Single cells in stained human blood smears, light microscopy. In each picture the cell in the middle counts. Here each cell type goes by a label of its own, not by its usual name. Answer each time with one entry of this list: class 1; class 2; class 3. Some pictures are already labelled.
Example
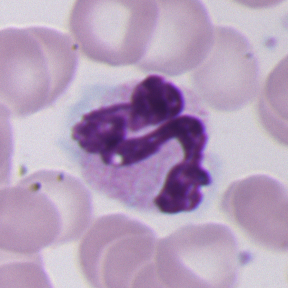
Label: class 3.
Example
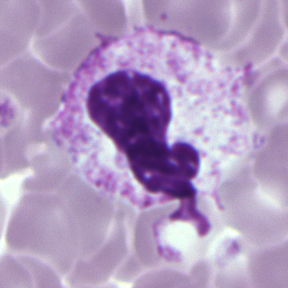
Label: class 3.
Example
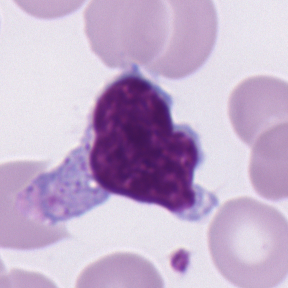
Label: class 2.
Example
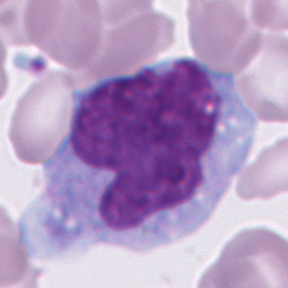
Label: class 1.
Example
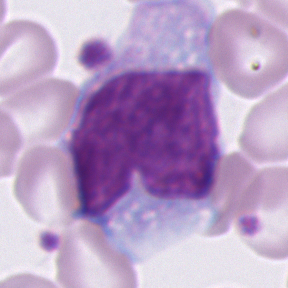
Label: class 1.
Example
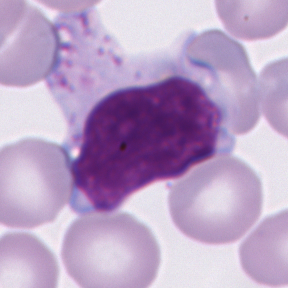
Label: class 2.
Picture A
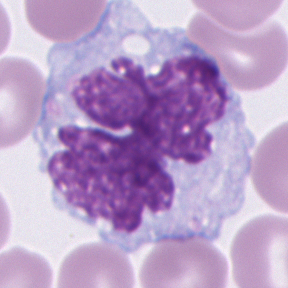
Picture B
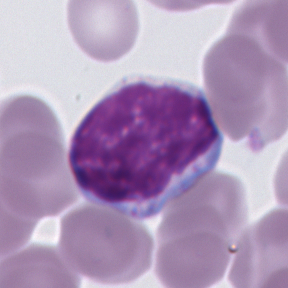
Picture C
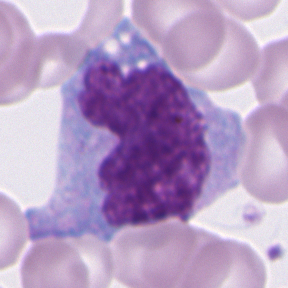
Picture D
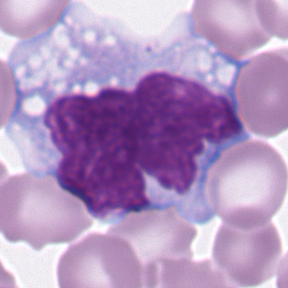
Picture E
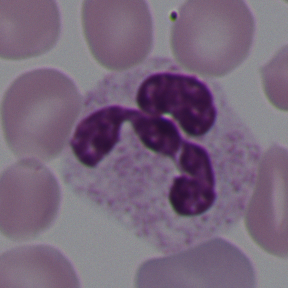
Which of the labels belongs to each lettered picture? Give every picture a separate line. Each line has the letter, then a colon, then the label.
A: class 1.
B: class 2.
C: class 1.
D: class 1.
E: class 3.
